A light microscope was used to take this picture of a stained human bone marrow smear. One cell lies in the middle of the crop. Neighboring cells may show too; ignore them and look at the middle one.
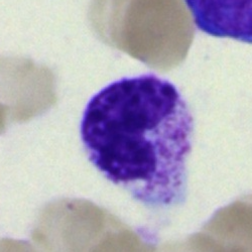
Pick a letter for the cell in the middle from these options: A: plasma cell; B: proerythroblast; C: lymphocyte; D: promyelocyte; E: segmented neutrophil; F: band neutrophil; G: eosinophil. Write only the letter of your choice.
F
